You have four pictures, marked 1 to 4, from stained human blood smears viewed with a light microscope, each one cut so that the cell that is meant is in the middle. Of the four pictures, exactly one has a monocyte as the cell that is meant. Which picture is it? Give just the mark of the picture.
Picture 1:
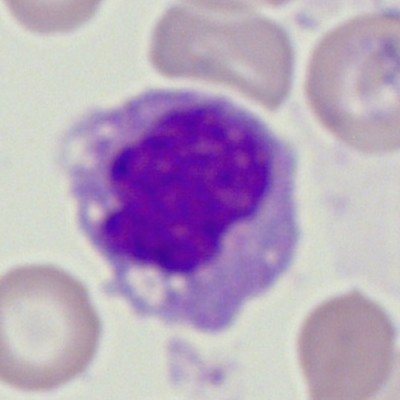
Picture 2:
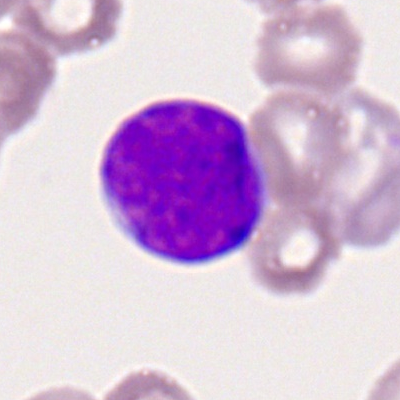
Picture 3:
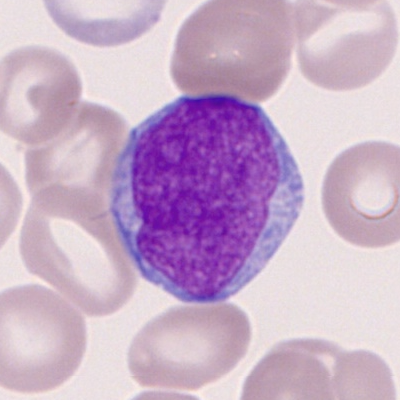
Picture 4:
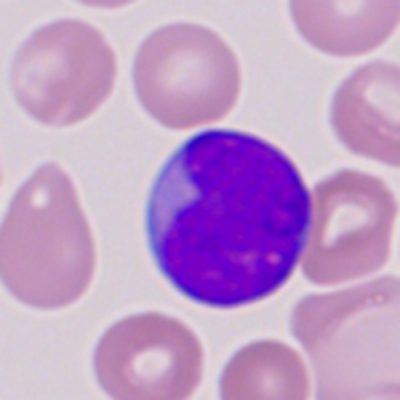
1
